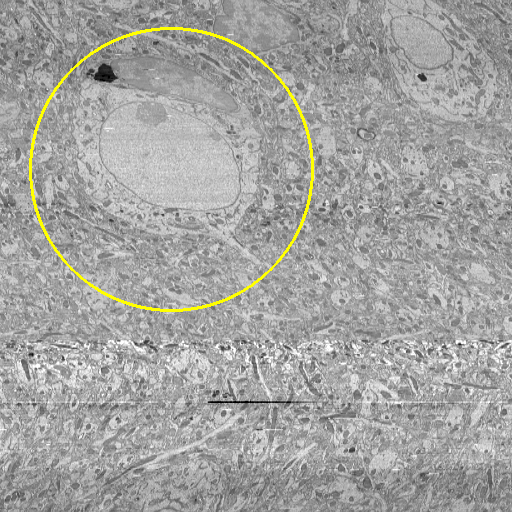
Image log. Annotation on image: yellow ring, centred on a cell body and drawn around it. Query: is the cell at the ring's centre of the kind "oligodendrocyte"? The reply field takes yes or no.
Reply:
no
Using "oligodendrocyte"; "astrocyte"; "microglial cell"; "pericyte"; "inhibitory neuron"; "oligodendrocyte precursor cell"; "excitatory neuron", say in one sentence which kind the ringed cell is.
Here, the ring is centred on an excitatory neuron instead.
